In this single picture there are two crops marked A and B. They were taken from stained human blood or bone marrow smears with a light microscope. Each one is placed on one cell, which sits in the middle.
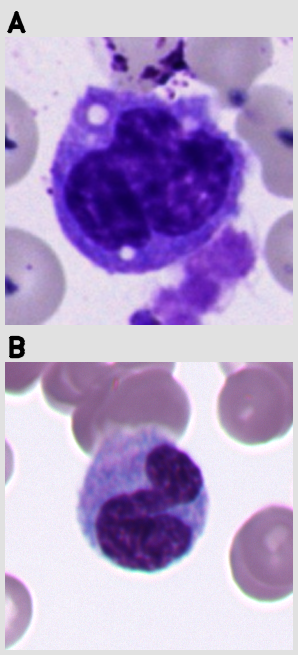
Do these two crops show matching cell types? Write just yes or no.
yes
